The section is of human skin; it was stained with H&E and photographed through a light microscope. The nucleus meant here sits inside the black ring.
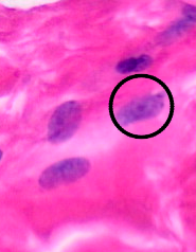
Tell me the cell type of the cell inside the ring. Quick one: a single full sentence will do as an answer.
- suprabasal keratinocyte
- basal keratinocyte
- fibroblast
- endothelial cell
In terms of identity, the cell inside the ring is a fibroblast.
